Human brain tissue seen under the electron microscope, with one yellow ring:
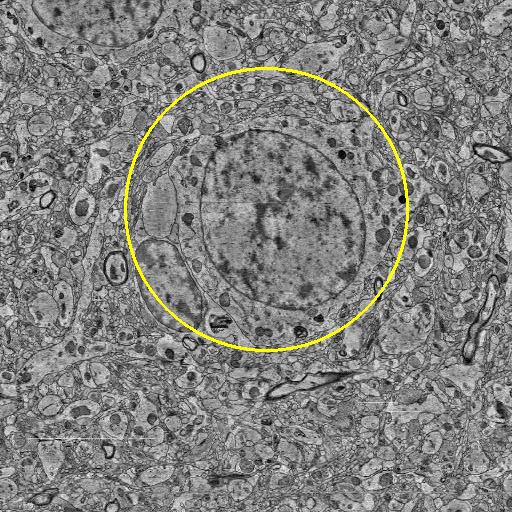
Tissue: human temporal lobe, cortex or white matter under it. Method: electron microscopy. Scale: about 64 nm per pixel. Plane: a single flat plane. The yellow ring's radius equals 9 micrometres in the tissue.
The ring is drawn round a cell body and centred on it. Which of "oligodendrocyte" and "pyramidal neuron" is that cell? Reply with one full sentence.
The picture shows a pyramidal neuron at the very centre of the yellow ring.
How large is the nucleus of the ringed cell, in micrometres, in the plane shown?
In this plane, roughly 12 by 10 micrometres.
